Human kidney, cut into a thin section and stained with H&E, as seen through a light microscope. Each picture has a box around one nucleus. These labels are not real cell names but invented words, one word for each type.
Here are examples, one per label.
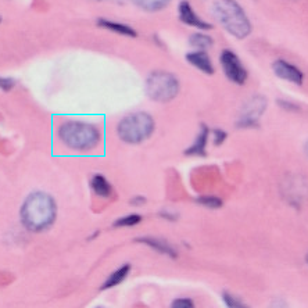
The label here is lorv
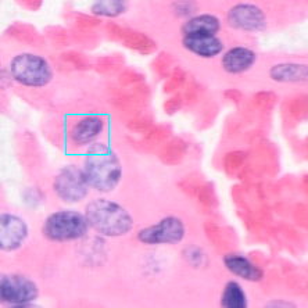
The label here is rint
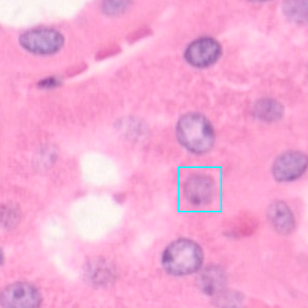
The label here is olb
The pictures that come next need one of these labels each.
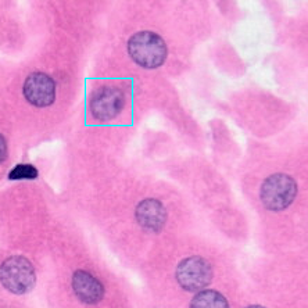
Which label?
olb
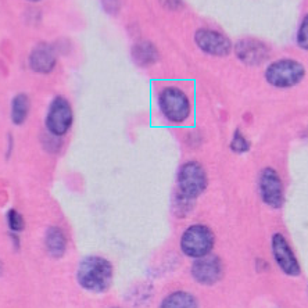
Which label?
lorv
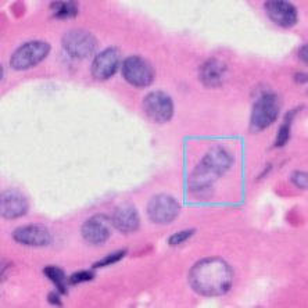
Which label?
rint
